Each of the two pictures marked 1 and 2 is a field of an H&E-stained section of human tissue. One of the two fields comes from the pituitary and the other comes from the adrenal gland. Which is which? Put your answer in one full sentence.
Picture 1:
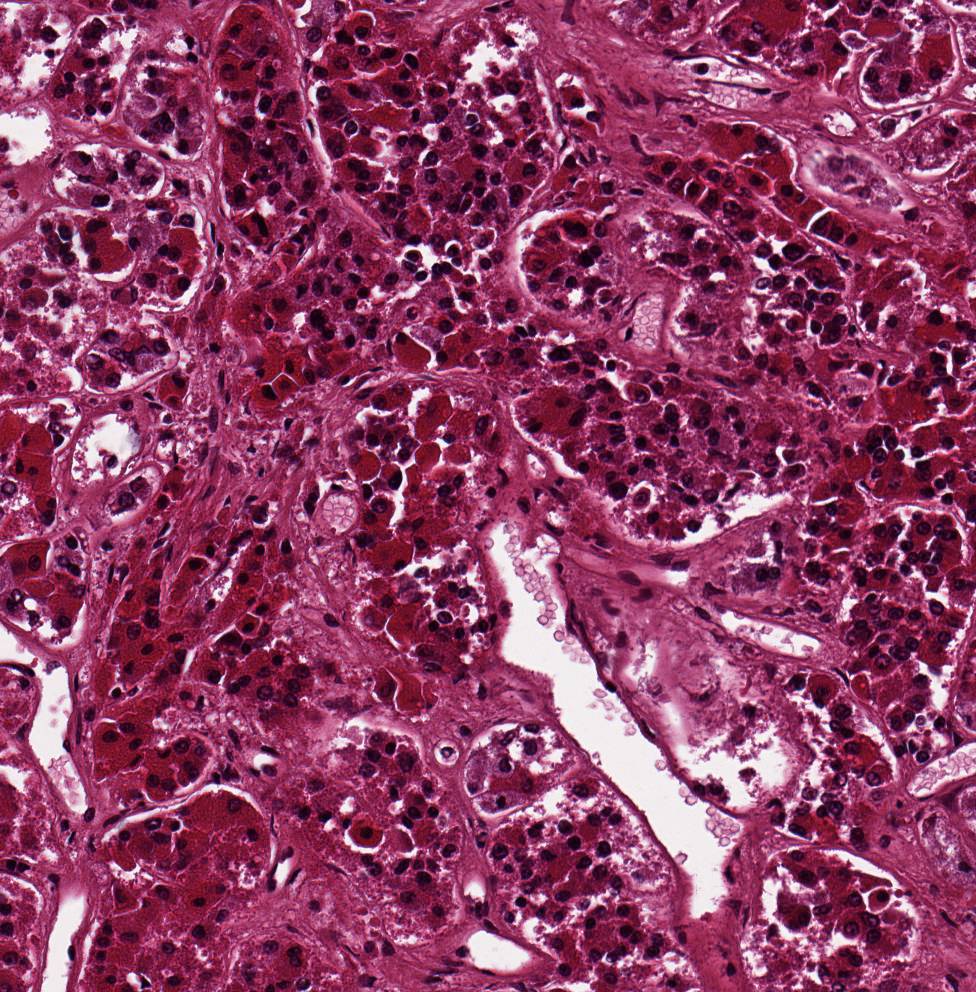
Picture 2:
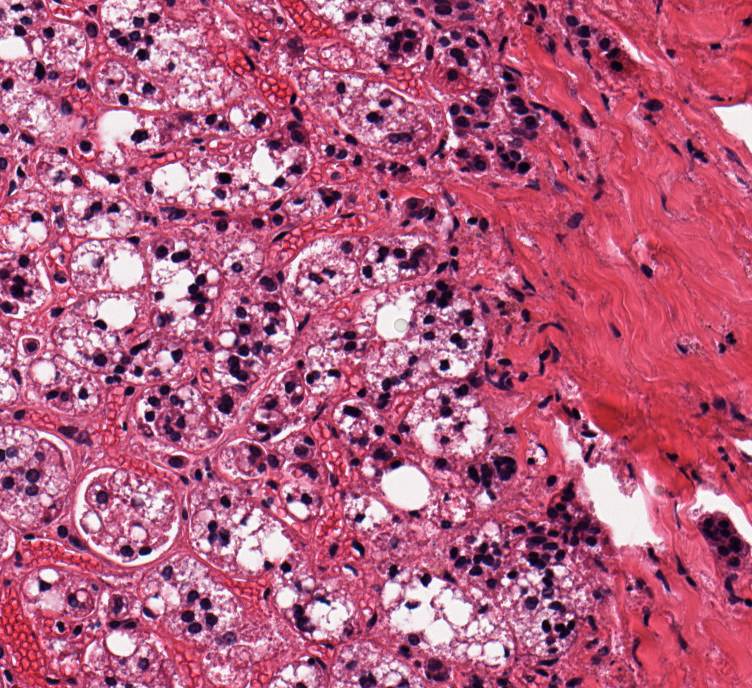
It is picture 1 that comes from the pituitary, and picture 2 that comes from the adrenal gland.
